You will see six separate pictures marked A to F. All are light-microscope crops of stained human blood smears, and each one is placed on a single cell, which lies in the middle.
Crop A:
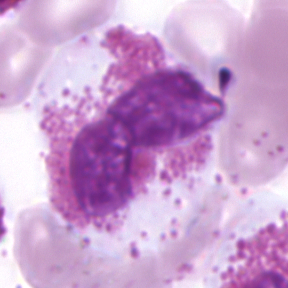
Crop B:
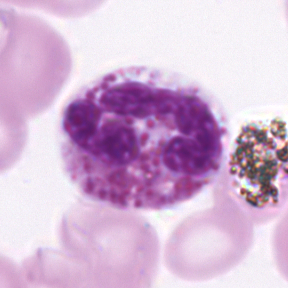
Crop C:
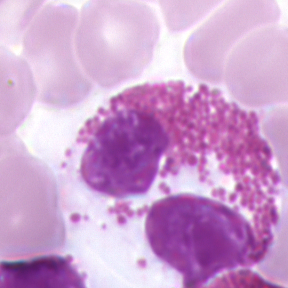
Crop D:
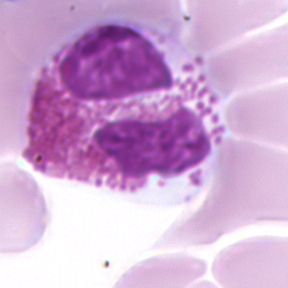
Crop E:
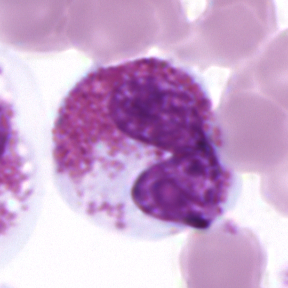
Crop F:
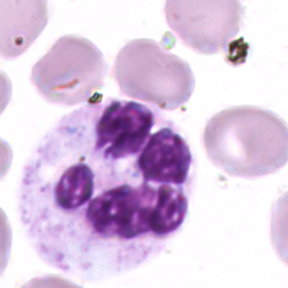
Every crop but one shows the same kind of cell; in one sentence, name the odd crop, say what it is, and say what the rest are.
Crop F stands apart from the rest as a segmented neutrophil, the others all being eosinophils.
